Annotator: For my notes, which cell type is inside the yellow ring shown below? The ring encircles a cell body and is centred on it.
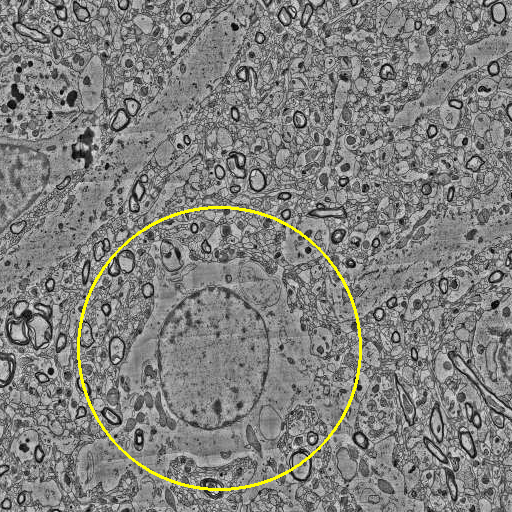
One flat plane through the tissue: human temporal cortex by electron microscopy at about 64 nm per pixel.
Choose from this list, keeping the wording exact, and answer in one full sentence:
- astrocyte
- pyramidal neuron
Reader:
At the centre of the yellow ring there is an astrocyte, as shown in the picture.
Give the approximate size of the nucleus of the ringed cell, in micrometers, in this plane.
About 9 by 7 micrometers, in this plane.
